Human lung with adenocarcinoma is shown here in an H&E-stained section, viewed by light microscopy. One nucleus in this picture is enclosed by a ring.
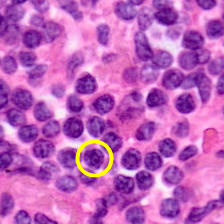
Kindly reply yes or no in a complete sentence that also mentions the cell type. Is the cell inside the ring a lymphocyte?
Yes, it is as a lymphocyte that the cell inside the ring is classified.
